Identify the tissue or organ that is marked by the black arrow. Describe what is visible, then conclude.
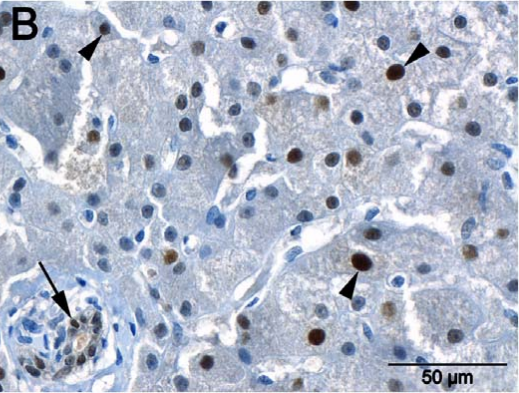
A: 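The arrow points to a small ring of closely packed cells around a lumen. The ring lies in a patch of fibrous connective tissue in the lower left corner. The cells of the ring have crowded, partly brown nuclei.
Hence: bile duct epithelium.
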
